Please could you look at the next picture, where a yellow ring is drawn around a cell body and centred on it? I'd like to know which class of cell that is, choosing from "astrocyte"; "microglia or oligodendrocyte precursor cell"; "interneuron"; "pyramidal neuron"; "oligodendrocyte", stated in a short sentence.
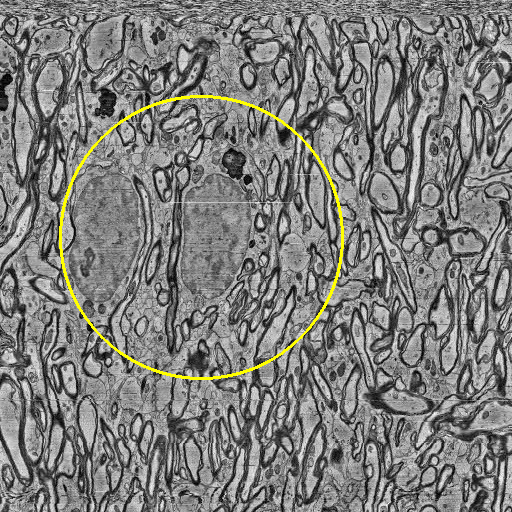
The ring's centre lies on an oligodendrocyte.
